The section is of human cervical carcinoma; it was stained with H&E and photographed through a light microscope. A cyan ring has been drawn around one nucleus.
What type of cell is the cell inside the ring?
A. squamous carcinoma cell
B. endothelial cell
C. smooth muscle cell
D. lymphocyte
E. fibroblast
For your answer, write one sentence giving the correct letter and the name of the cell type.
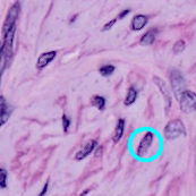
Given that the cell inside the ring is a smooth muscle cell, option C is the correct one.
